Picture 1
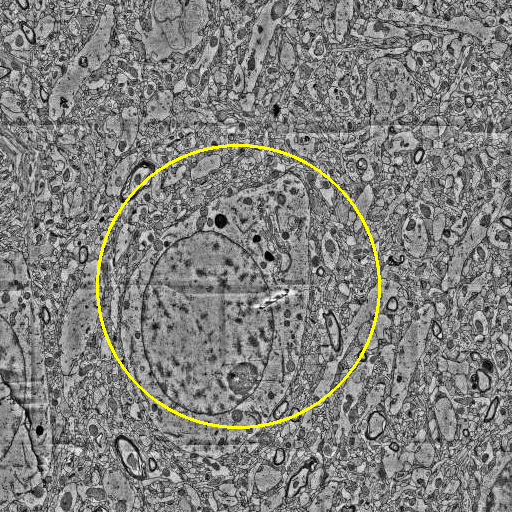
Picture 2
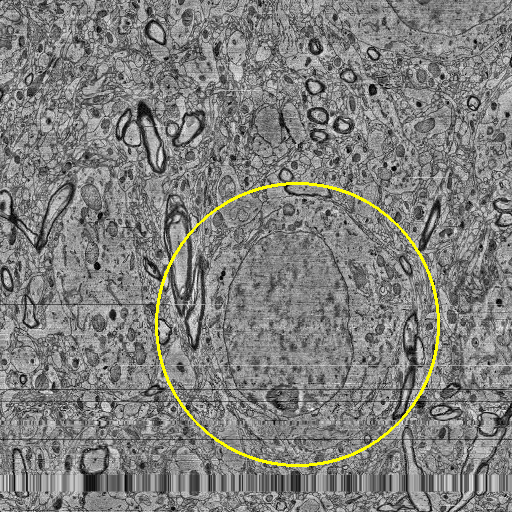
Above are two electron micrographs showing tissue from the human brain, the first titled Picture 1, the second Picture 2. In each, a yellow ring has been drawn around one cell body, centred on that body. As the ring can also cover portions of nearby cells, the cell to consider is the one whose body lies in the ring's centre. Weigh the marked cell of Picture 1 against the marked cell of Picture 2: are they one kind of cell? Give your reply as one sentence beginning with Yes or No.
Yes, the two cells sitting at the ring centres in the pictures are of one kind.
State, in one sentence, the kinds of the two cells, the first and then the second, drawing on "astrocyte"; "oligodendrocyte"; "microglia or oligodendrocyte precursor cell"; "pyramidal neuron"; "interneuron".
The cell in the first picture is a pyramidal neuron, and so is the one in the second.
